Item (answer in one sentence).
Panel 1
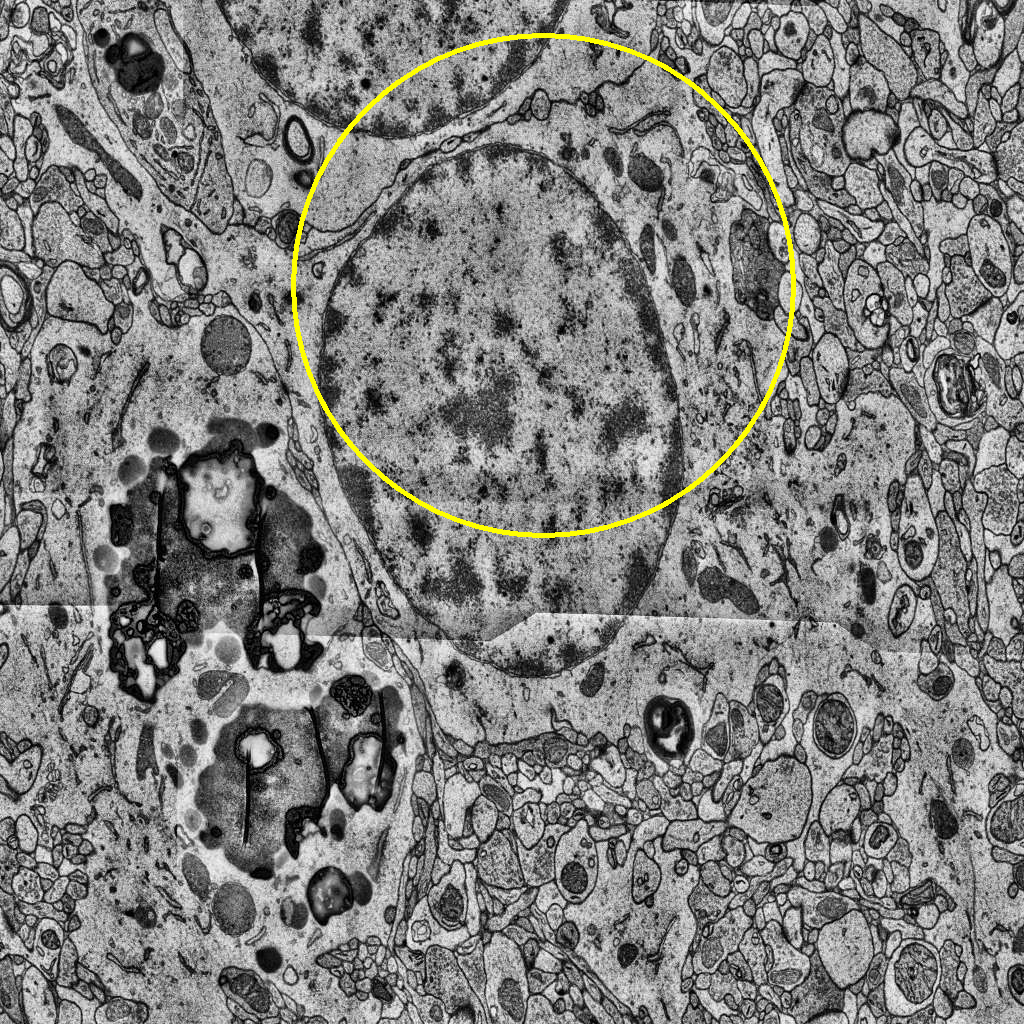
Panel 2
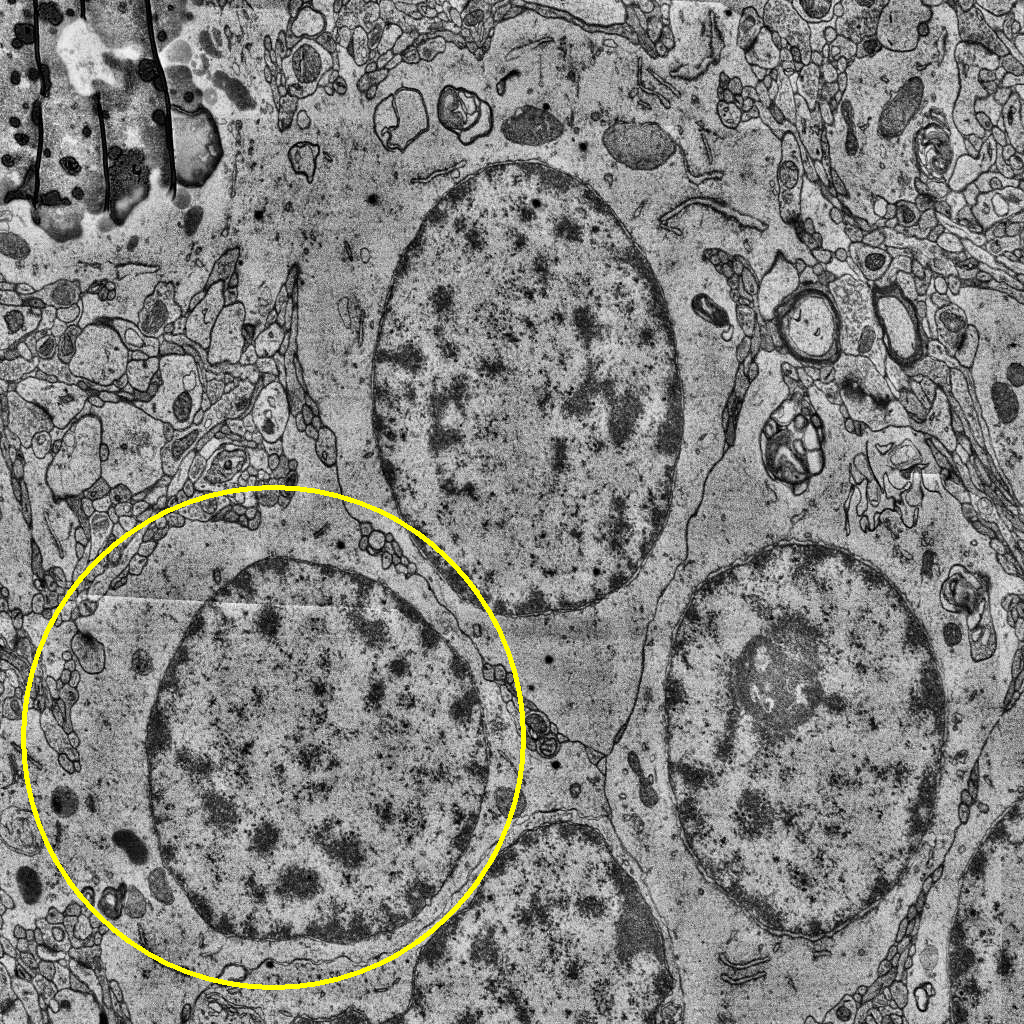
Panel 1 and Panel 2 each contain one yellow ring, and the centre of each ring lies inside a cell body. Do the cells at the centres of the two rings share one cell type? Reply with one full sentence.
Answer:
Yes, Panel 1 and Panel 2 show cells of one type at the centres of their rings.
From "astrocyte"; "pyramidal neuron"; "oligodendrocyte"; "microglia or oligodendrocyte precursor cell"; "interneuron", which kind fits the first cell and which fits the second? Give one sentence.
The first and the second cell are each an astrocyte.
